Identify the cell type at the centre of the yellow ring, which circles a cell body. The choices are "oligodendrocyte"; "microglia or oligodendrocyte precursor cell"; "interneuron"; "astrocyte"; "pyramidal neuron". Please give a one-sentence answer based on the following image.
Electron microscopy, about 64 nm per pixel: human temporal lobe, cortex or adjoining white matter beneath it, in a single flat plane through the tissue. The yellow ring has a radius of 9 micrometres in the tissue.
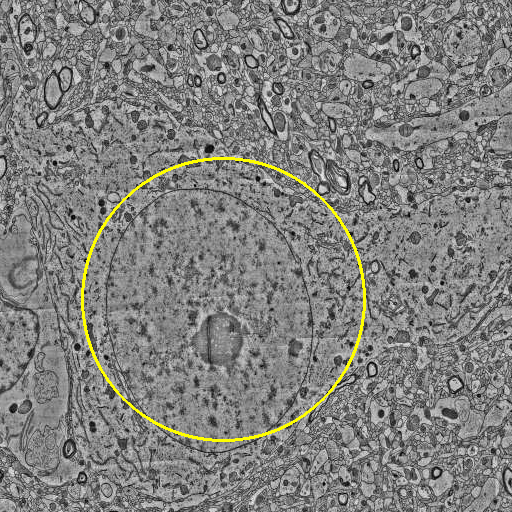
The cell marked by the ring is a pyramidal neuron.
